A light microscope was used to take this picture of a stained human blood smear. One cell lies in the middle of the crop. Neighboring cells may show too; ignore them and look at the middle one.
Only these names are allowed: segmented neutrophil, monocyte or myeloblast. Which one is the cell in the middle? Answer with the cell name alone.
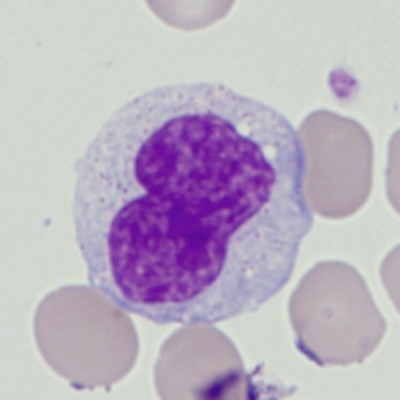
monocyte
